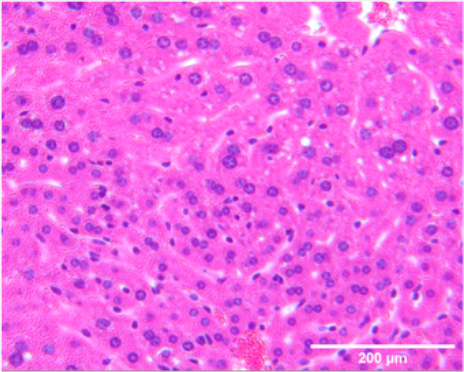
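Liver parenchyma with hepatocytes arranged in cords separated by thin, pale sinusoidal spaces. Hepatocytes are polygonal with evenly pink cytoplasm and round, central, purple nuclei, some cells binucleate. Small elongated nuclei line the sinusoids. A few red blood cells lie in small vessels at the edges. Architecture appears regular without enlarged or pale cells.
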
